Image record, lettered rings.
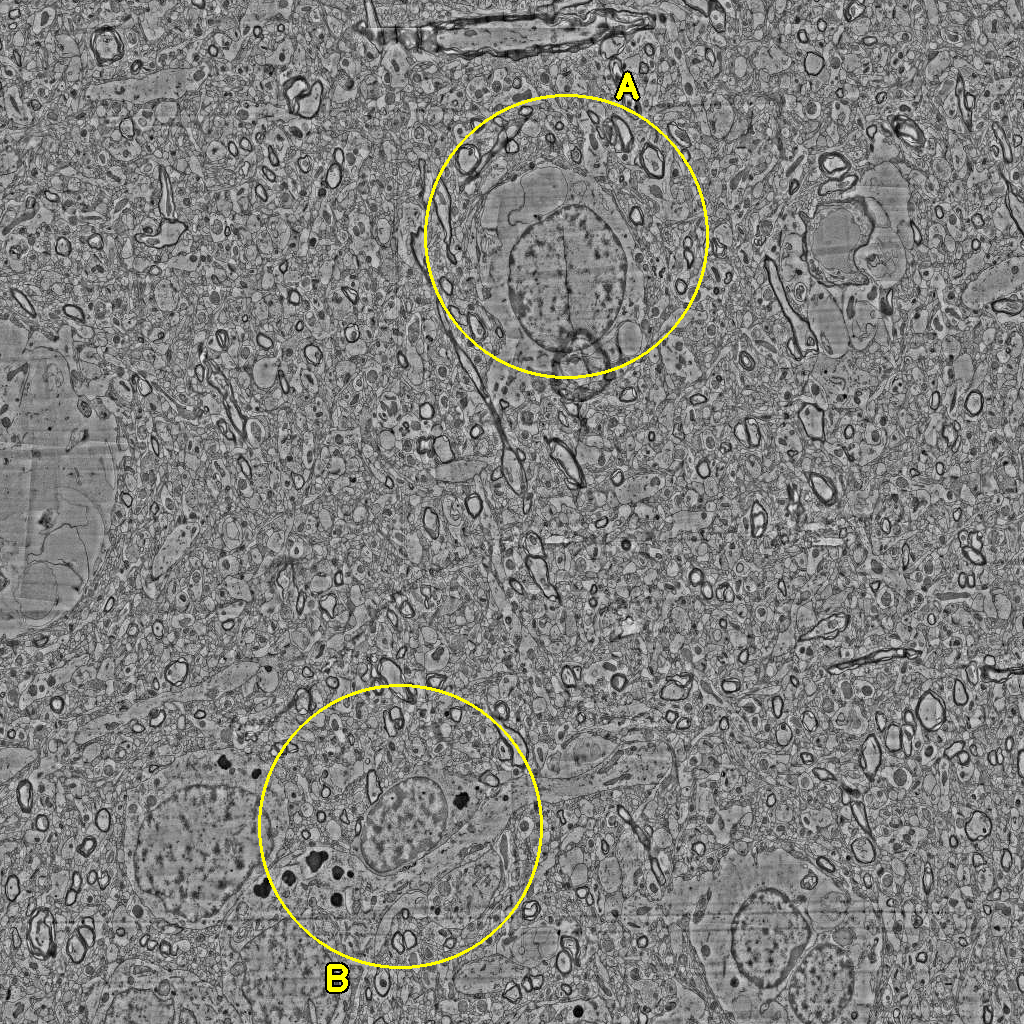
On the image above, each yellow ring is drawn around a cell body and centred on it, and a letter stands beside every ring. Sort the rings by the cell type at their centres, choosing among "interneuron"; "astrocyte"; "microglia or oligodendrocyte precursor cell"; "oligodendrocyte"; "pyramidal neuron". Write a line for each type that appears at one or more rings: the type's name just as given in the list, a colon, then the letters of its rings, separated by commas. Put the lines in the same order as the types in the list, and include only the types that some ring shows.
astrocyte: A
oligodendrocyte: B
